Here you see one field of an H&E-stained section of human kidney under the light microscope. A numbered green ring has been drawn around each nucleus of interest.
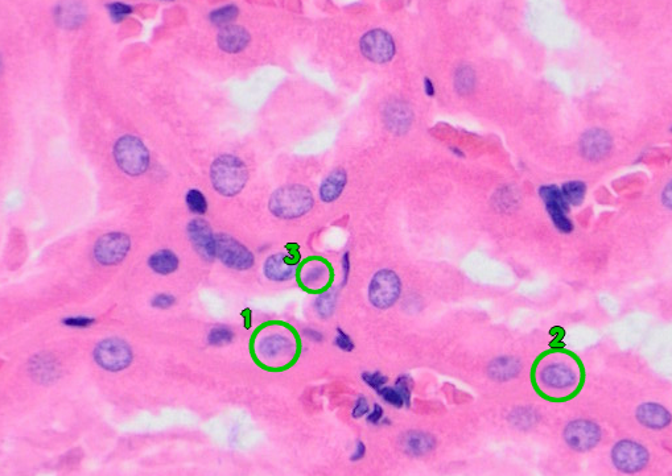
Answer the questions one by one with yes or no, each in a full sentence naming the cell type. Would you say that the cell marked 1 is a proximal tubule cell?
No, not a proximal tubule cell: the cell with number 1 is a collecting duct cell.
